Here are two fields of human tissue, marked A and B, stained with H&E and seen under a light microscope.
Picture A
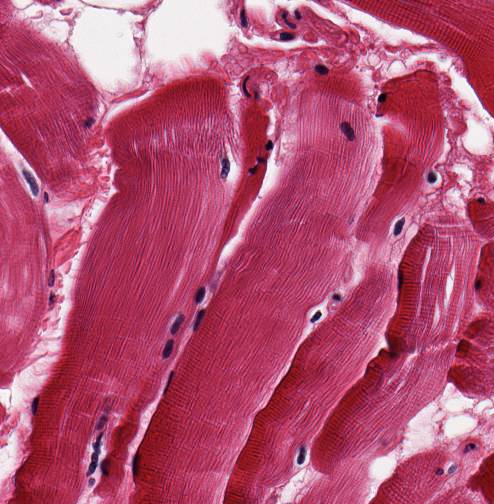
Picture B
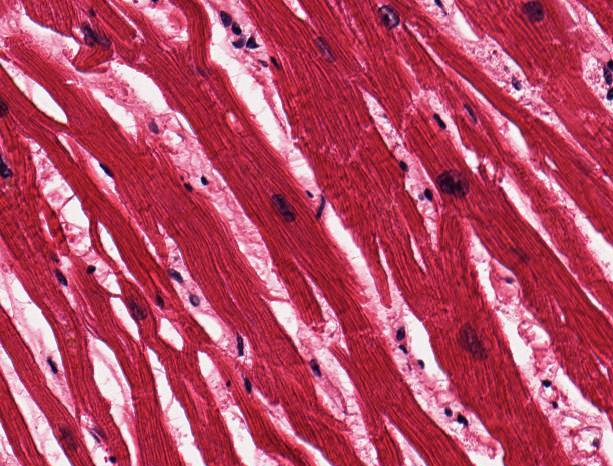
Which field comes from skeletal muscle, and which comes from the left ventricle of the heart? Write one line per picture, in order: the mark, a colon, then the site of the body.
A: skeletal muscle
B: left ventricle of the heart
